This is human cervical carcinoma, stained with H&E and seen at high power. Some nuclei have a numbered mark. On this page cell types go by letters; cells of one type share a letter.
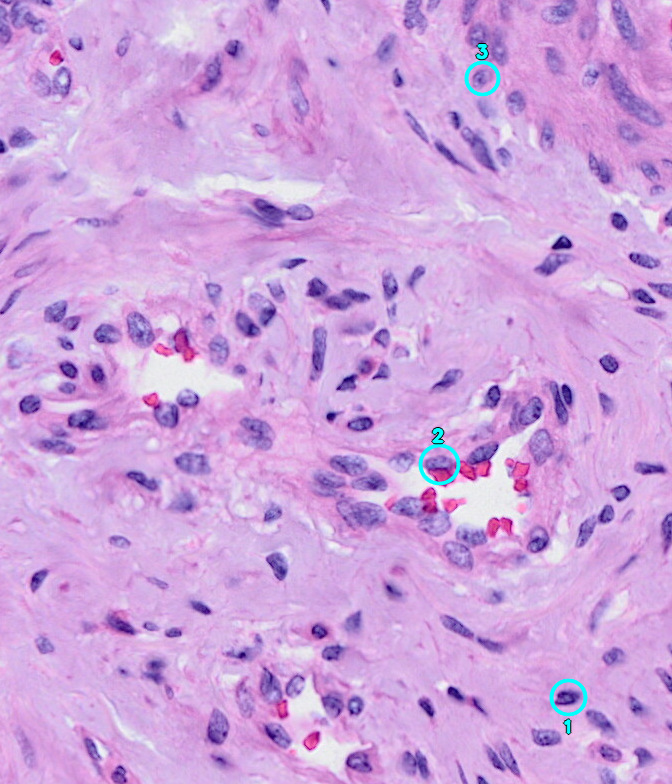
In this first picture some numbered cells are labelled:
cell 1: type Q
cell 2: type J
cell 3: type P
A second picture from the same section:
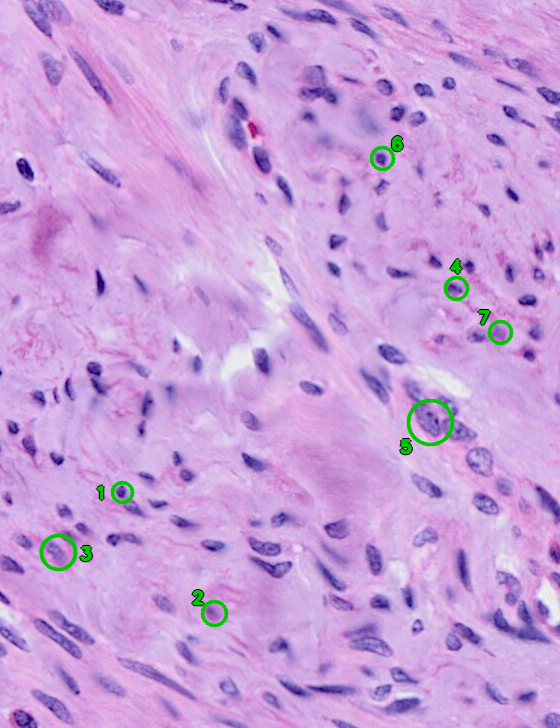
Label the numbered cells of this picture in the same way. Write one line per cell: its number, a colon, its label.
1: type Q
2: type P
3: type P
4: type P
5: type J
6: type Q
7: type P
